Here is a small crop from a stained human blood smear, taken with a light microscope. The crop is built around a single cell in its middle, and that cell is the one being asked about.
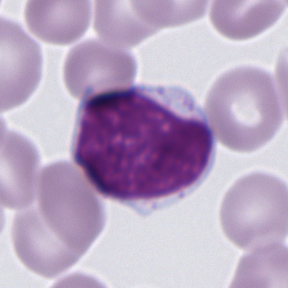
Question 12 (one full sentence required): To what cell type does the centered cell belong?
As for the cell in the middle, it is a large granular lymphocyte.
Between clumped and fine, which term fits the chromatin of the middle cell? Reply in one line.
Take a look at the chromatin, which is coarsely clumped.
